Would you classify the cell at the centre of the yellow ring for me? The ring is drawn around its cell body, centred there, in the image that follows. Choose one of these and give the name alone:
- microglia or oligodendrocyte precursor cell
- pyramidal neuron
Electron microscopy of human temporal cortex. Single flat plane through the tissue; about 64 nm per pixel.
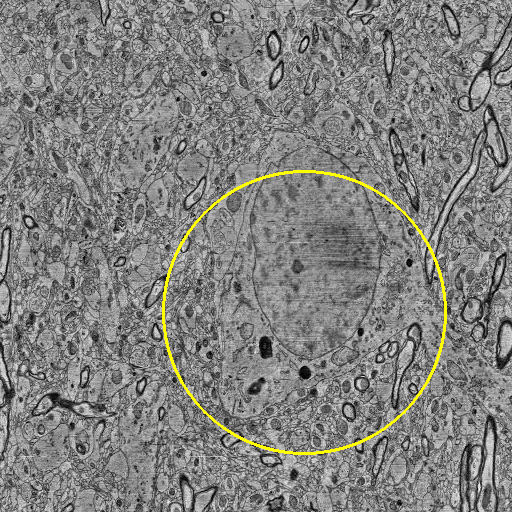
pyramidal neuron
